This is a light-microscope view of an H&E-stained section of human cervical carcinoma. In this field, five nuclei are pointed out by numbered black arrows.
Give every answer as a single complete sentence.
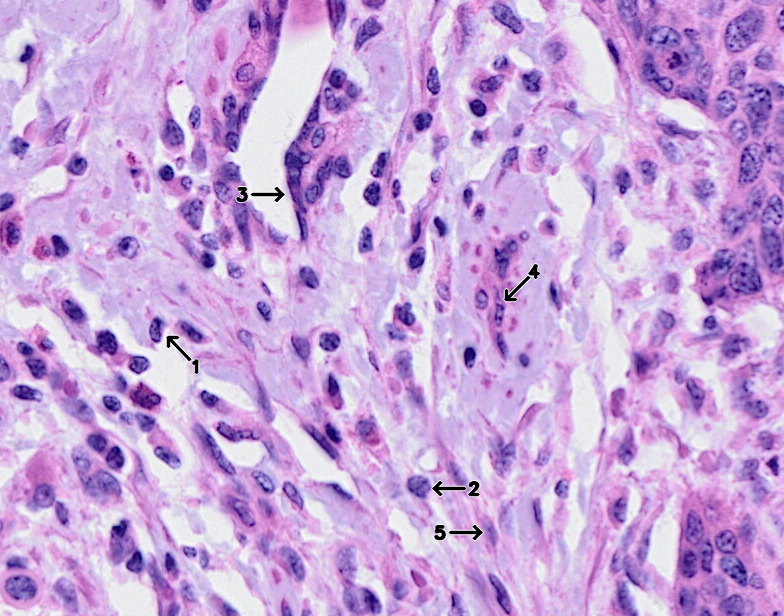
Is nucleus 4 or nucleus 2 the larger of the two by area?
Nucleus 2 covers more area, about 1.5 times as much as nucleus 4.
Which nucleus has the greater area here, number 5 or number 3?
Number 3 is larger; its area is about 1.5 times that of number 5.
